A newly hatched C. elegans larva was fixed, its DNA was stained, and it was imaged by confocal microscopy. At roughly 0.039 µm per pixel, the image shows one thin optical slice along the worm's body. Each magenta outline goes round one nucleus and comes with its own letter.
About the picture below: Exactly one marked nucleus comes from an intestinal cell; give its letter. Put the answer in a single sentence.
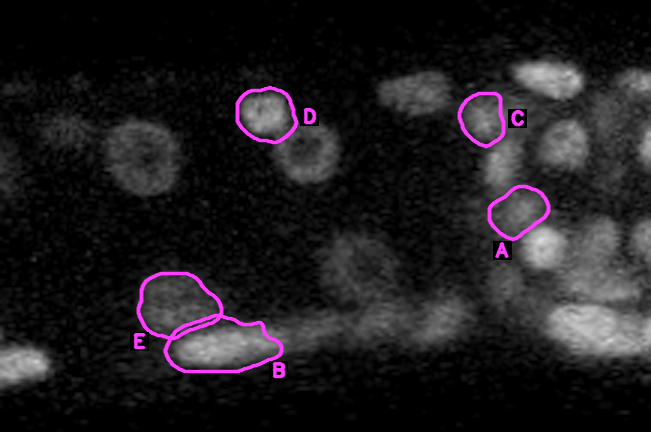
E is the one that belongs to an intestinal cell.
